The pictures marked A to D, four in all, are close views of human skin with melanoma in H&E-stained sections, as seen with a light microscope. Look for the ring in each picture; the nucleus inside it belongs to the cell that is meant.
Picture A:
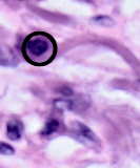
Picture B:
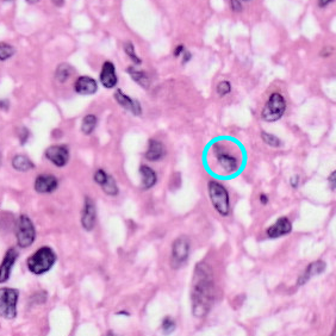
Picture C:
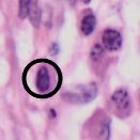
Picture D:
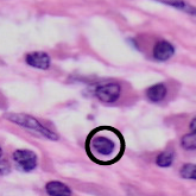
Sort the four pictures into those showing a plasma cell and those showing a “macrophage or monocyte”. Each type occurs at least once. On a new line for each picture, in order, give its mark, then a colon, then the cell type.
A: plasma cell
B: macrophage or monocyte
C: plasma cell
D: plasma cell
